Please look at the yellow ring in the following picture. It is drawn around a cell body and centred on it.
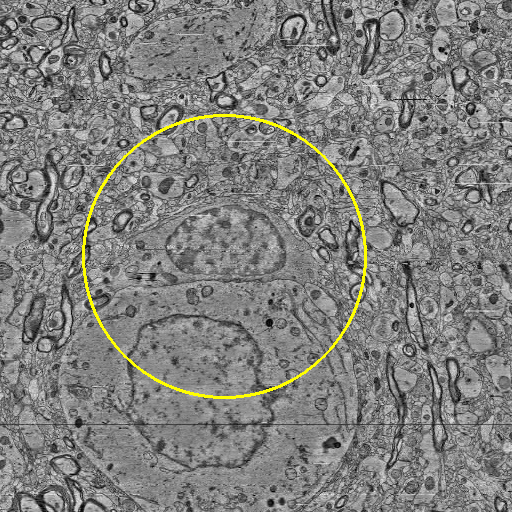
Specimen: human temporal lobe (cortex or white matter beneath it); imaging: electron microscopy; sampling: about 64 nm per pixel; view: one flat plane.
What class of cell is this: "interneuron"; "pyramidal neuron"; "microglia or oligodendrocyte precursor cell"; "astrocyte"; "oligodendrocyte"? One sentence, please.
The ring surrounds the cell body of an oligodendrocyte.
